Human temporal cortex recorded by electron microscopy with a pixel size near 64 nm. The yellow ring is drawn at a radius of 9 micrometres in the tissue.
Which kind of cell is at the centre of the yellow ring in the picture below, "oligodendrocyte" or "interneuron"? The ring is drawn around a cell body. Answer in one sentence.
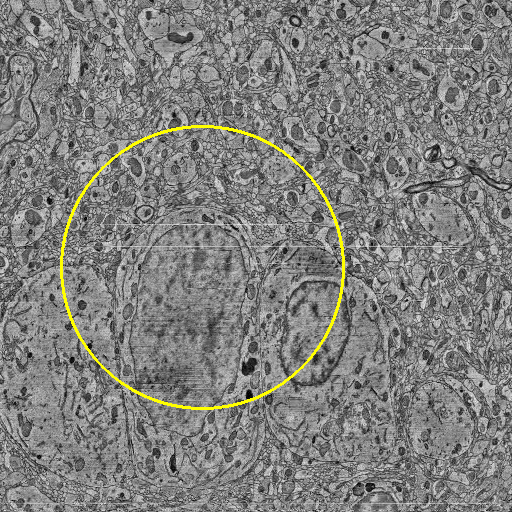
The ring's central cell is an interneuron.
